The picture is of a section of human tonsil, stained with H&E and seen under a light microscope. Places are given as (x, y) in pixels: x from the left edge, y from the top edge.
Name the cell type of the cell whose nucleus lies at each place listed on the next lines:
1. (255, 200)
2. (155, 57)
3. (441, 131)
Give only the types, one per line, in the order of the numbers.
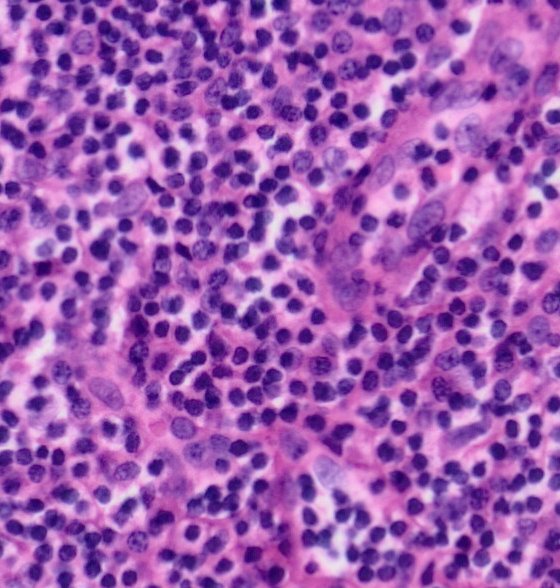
small lymphocyte
small lymphocyte
endothelial cell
